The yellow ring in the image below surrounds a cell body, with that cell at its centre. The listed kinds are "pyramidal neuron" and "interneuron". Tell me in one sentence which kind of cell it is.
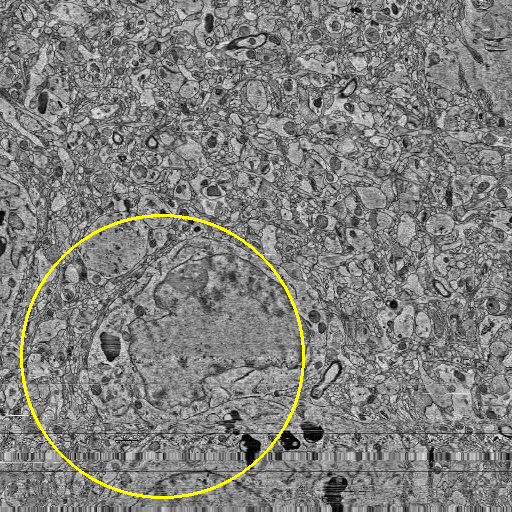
The centre of the ring holds an interneuron.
